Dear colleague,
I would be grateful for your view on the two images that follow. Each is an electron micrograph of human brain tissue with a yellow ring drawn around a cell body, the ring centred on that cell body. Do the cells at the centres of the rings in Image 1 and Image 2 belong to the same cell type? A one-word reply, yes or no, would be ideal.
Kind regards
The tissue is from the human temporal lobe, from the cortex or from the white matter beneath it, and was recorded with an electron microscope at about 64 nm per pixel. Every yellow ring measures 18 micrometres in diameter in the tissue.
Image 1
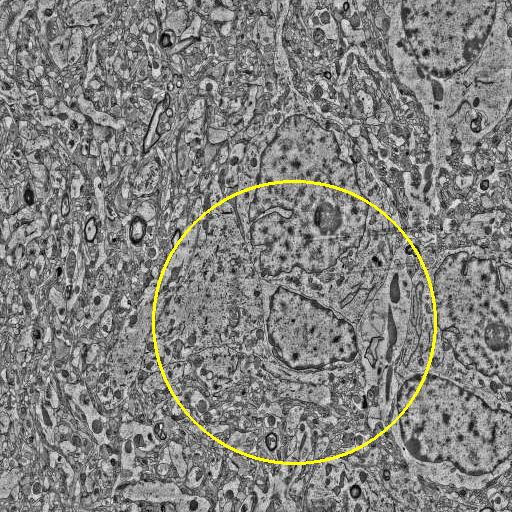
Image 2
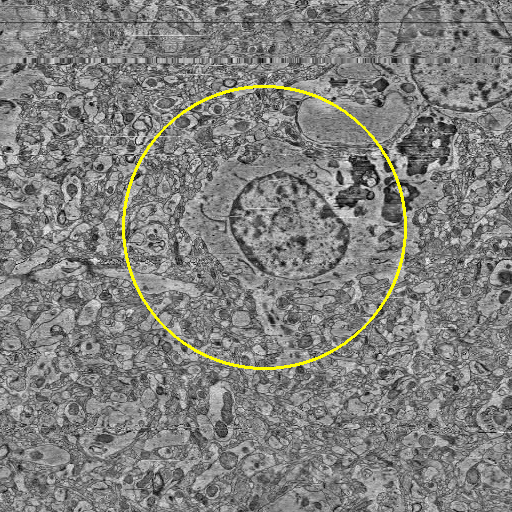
no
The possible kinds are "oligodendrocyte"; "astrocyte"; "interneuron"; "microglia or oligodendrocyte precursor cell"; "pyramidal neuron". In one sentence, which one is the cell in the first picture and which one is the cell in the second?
The cell ringed in the second picture is an astrocyte, whereas the one ringed in the first is a microglial cell or oligodendrocyte precursor cell.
